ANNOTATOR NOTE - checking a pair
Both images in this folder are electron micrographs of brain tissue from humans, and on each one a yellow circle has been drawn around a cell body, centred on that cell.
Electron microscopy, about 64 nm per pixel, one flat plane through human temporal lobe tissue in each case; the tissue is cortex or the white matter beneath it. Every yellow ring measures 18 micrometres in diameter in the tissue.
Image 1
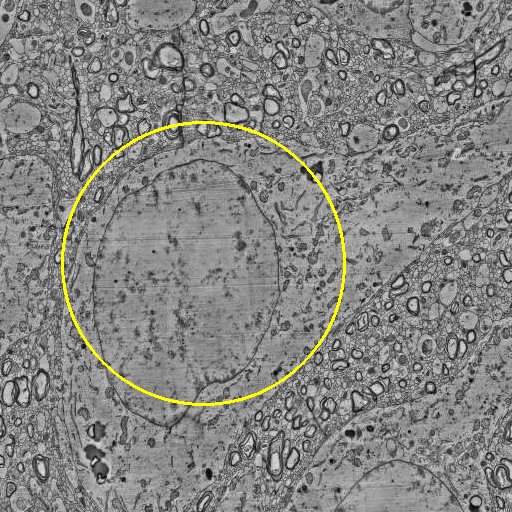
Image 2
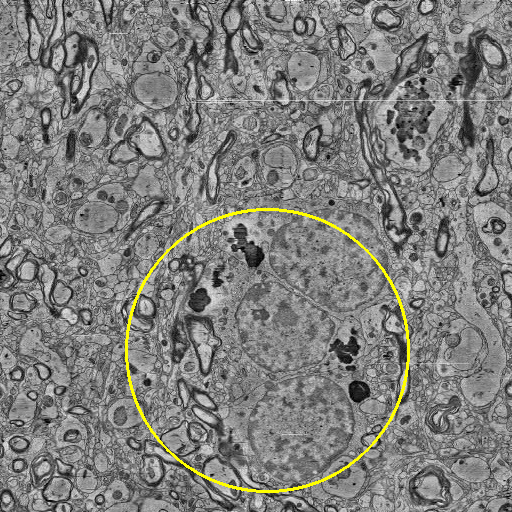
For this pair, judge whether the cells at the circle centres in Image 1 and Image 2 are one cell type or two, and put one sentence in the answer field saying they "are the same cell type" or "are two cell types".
For this pair, the cells at the circle centres in Images 1 and 2 are two cell types.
